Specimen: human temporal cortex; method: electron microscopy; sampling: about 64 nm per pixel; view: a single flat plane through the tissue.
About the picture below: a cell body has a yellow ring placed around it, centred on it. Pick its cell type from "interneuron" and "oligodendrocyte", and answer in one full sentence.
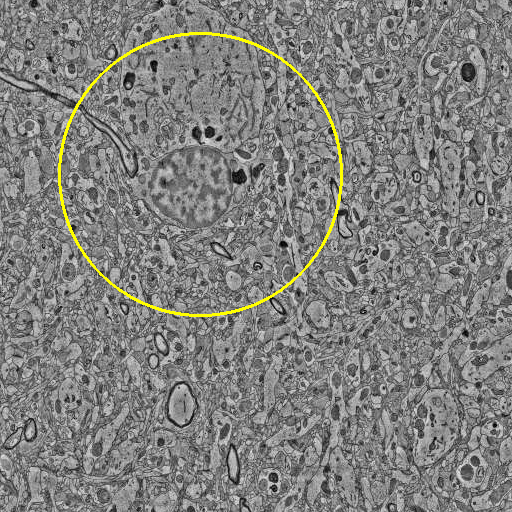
In the picture, an oligodendrocyte is the cell sitting at the centre of the yellow ring.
